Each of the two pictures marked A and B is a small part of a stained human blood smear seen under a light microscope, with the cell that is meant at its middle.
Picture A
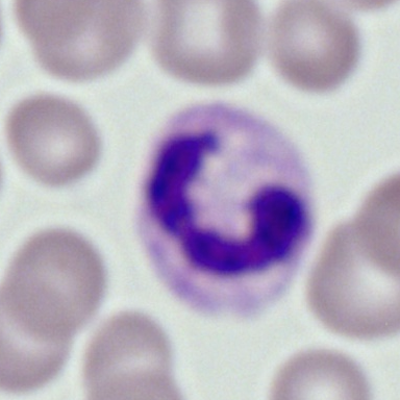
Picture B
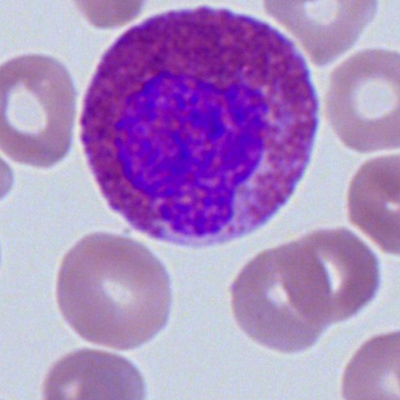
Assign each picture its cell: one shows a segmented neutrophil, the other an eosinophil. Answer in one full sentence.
The cell in picture A is a segmented neutrophil, and the one in picture B is an eosinophil.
